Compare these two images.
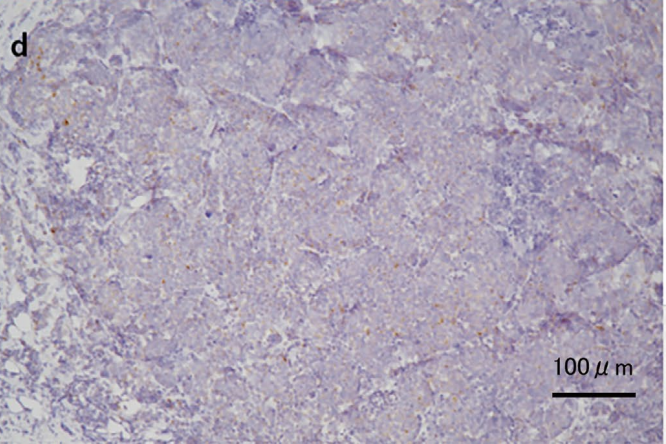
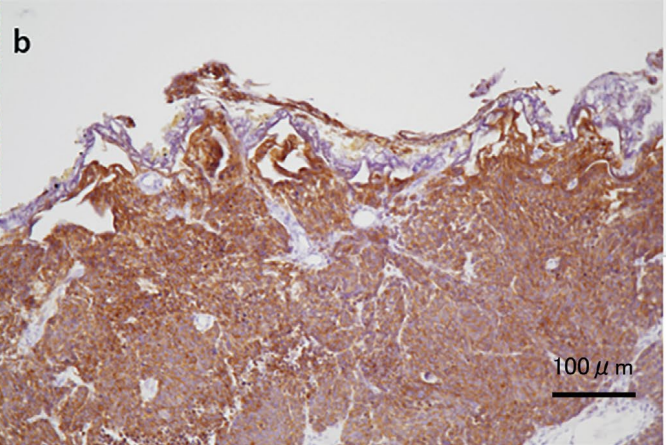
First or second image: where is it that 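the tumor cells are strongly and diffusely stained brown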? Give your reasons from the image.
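First image: the tumor sheet is pale blue-grey with hardly any brown. Second image: almost the whole tumor sheet is deep brown.
The second image.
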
